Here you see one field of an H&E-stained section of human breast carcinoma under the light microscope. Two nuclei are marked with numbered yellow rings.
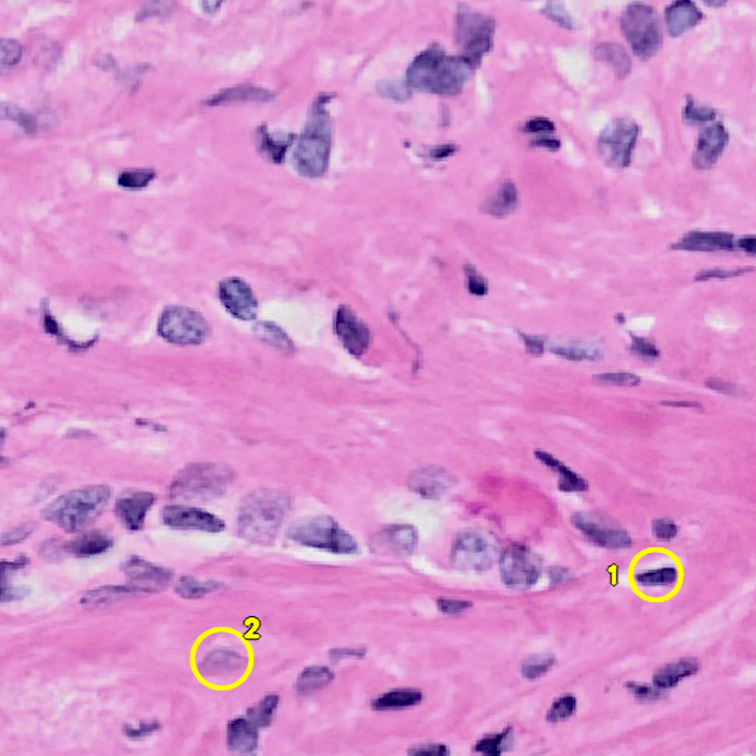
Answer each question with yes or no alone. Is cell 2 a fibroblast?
yes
